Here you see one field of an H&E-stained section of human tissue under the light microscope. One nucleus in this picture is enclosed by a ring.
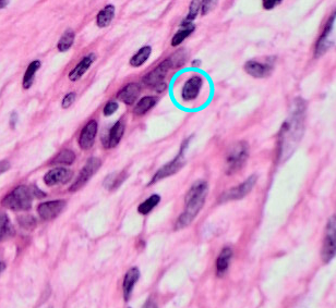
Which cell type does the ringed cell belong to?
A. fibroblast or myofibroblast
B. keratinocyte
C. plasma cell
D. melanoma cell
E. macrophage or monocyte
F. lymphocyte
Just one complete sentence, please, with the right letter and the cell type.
Here the ringed cell is a lymphocyte, which makes option F correct.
